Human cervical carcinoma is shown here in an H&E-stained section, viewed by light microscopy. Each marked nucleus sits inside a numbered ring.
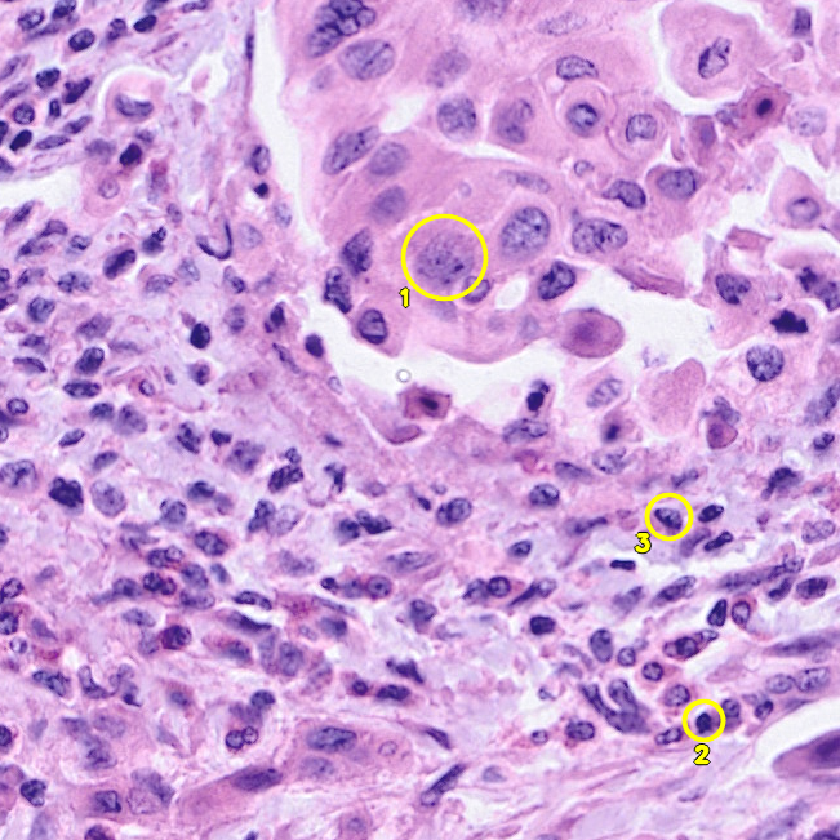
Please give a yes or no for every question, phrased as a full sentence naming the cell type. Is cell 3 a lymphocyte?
Yes, the cell with number 3 is a lymphocyte.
